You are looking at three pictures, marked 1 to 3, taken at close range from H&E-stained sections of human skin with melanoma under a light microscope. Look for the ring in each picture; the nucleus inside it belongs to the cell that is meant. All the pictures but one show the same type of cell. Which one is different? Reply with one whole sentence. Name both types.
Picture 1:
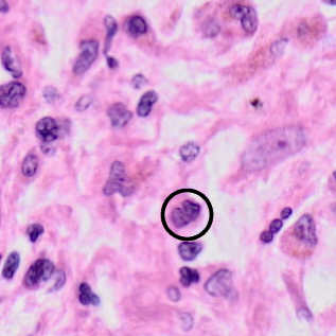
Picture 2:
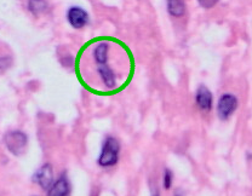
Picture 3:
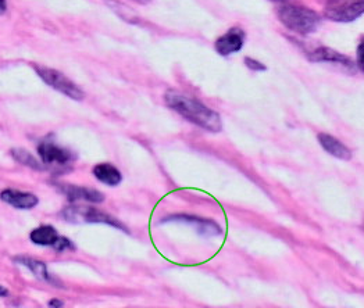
The others show “macrophages or monocytes”, but picture 3 shows a “fibroblast or myofibroblast”.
